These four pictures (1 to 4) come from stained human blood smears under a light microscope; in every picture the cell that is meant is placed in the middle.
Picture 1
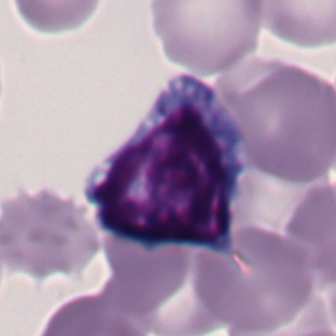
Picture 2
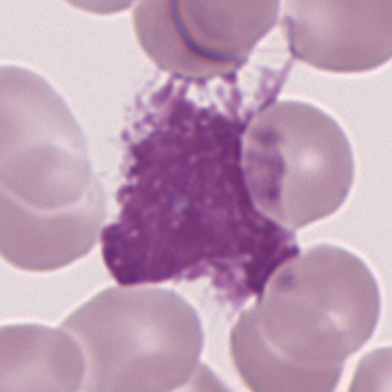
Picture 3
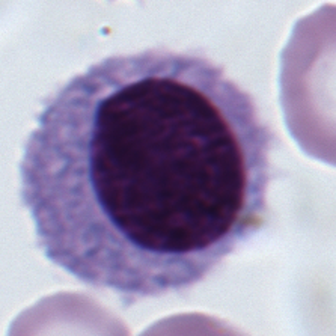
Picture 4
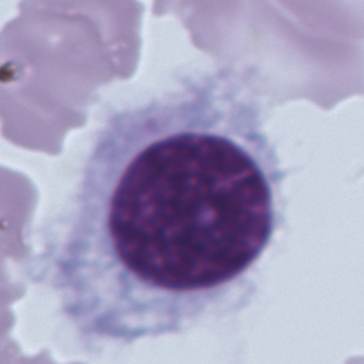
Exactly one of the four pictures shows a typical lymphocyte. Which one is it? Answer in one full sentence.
The typical lymphocyte is the one in picture 1.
